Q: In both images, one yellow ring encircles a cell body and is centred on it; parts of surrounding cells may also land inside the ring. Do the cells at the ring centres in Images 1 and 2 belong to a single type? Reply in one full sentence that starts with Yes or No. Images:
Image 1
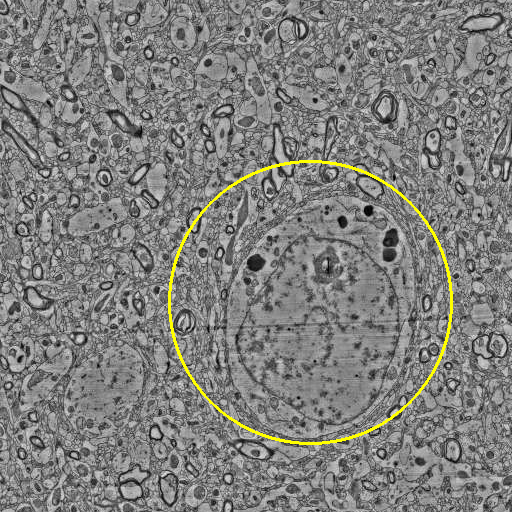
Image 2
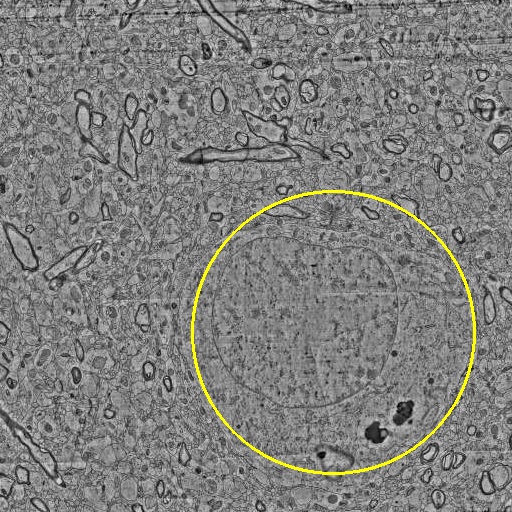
Yes, the cells at the ring centres in Images 1 and 2 are of a single type.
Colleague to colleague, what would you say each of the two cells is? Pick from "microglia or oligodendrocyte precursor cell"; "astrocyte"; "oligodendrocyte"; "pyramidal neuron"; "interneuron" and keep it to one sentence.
Each cell at the centre of a ring is a pyramidal neuron.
